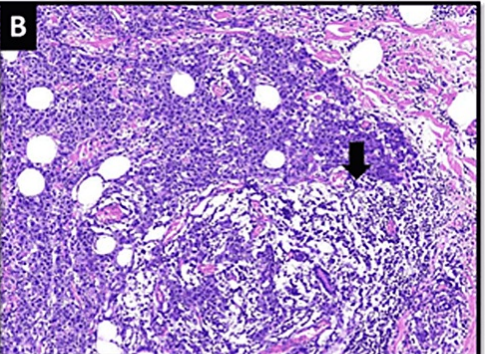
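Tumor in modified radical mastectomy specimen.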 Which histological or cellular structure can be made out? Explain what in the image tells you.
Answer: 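Dense sheets of small, round, dark blue cells fill much of the panel. Fat vacuoles and pink fibrous strands lie among them.
Lymphoid aggregates.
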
